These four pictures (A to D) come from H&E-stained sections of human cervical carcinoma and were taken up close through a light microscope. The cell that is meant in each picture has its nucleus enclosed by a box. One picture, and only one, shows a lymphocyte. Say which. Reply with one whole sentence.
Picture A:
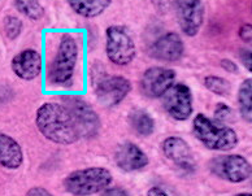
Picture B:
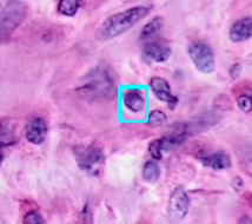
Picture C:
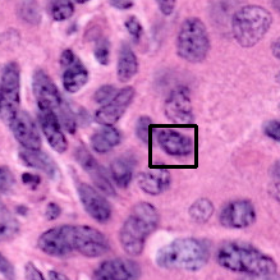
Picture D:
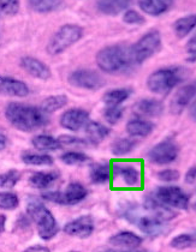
The picture with the lymphocyte is B.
